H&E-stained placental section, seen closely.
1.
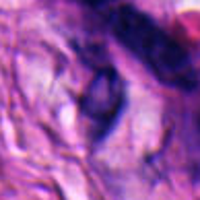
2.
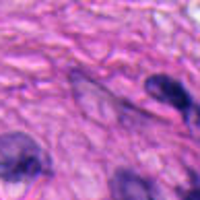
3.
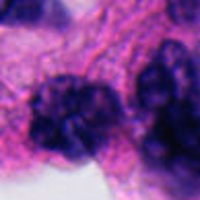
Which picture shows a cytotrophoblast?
Picture 1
